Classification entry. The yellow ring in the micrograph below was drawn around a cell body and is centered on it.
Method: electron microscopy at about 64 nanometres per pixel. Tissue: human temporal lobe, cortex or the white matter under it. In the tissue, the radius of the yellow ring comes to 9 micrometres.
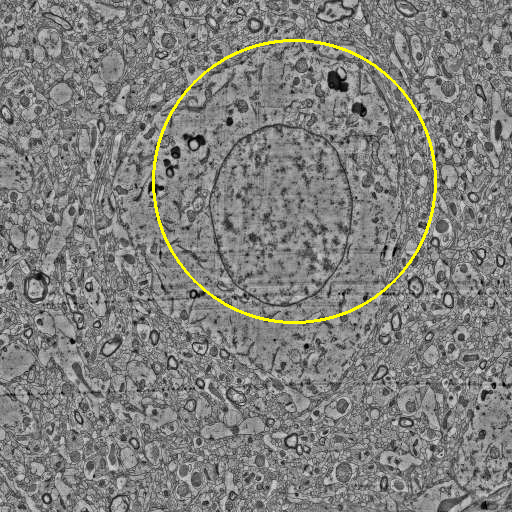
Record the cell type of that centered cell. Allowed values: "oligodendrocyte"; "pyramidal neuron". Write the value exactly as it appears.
pyramidal neuron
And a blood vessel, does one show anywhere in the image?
No, the picture includes no blood vessel.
